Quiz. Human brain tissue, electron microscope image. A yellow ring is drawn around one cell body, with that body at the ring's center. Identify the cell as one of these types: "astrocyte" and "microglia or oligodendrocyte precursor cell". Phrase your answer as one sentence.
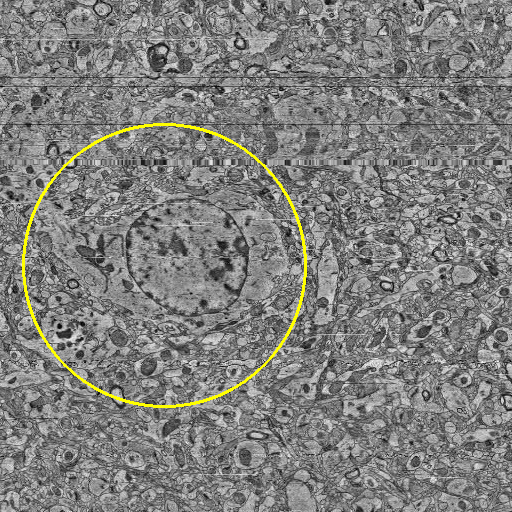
At the center of the ring sits an astrocyte.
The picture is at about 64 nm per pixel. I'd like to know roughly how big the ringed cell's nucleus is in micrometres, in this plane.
In this plane, the nucleus of the cell at the centre of the ring is about 8 micrometres across.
